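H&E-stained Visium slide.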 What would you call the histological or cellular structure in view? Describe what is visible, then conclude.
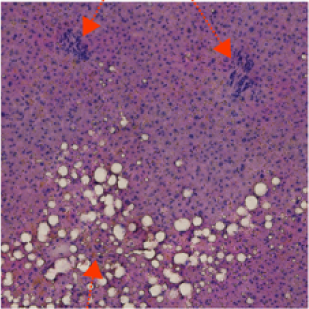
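Lipid droplets. Many round, clear, unstained vacuoles of varying size sit within the pink liver tissue. The vacuoles are crowded in the lower part of the panel and almost absent from the upper part.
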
